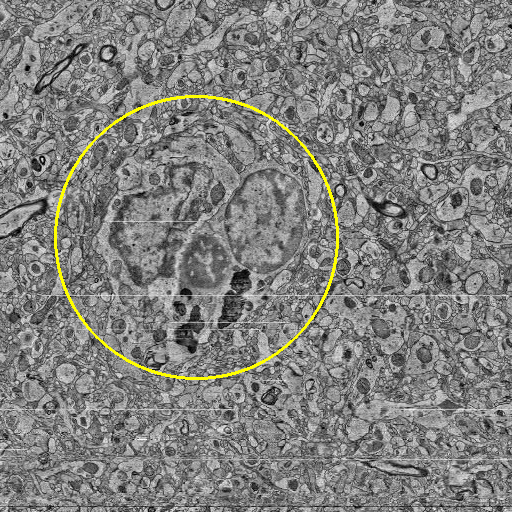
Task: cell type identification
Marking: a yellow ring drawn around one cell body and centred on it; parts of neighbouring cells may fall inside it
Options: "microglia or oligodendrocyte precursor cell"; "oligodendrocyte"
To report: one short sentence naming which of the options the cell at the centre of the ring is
The cell at the centre of the ring is an oligodendrocyte.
